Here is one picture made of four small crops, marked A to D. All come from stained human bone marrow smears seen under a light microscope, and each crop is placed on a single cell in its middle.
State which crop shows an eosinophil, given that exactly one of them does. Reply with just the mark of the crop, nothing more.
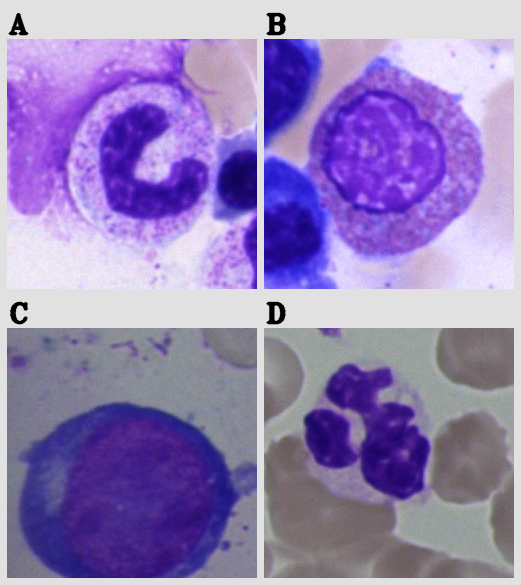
B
